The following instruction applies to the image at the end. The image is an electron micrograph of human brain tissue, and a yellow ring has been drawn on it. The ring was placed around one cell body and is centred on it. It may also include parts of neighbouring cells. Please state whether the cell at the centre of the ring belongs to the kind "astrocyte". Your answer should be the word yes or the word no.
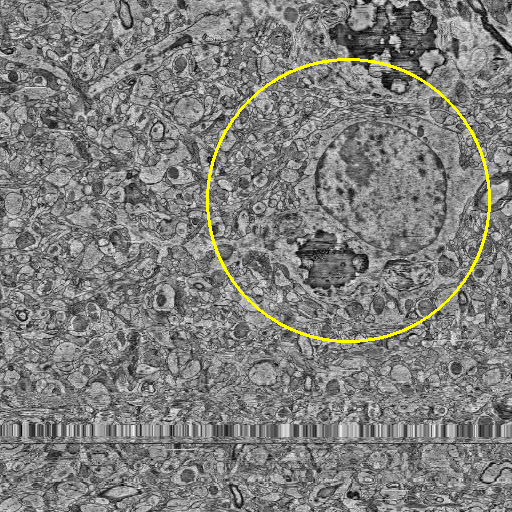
yes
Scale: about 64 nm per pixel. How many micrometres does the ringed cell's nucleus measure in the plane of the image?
In this plane the nucleus spans approximately 9 by 8 micrometers.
